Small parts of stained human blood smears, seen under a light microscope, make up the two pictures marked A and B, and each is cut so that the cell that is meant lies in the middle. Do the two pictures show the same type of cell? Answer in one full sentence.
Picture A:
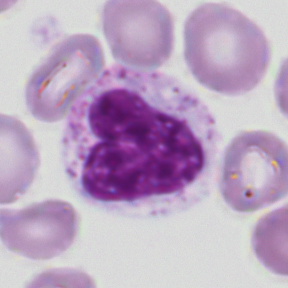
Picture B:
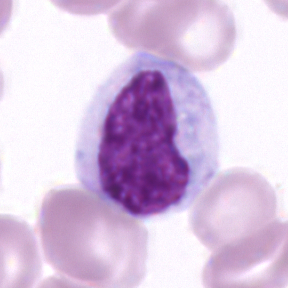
No, picture A shows a band neutrophil and picture B shows a metamyelocyte.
